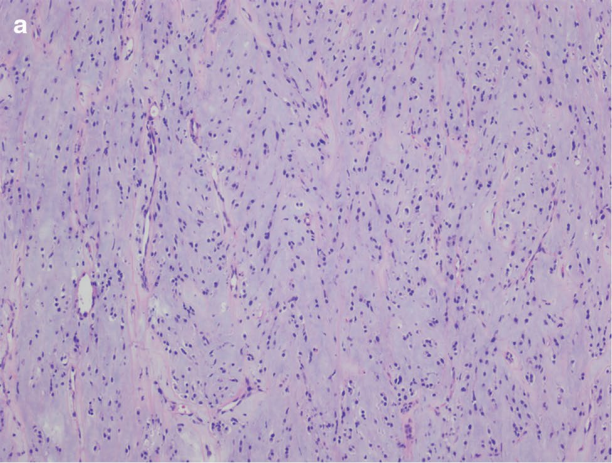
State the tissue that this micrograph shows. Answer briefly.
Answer: Myxoid stroma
